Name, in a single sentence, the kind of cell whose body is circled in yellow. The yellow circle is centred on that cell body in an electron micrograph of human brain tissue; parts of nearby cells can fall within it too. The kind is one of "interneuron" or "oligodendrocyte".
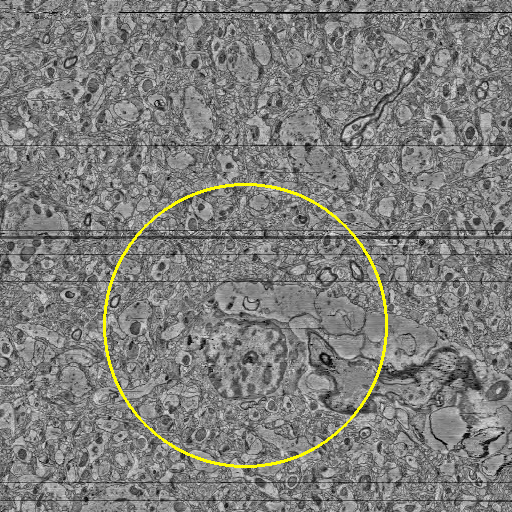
The circled cell body belongs to an oligodendrocyte.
